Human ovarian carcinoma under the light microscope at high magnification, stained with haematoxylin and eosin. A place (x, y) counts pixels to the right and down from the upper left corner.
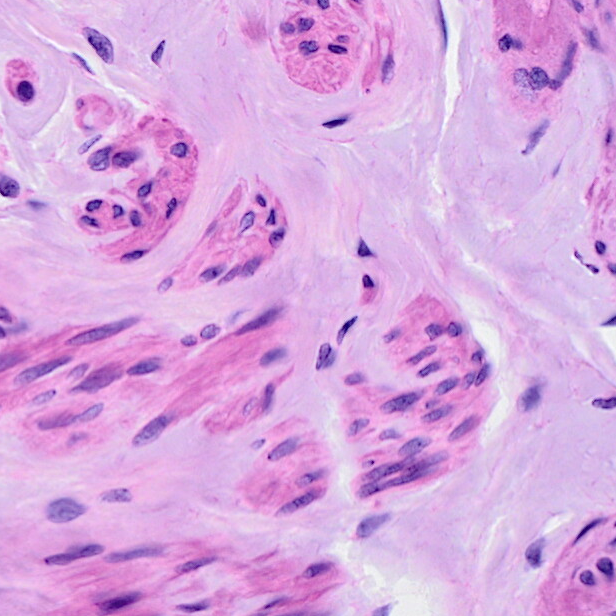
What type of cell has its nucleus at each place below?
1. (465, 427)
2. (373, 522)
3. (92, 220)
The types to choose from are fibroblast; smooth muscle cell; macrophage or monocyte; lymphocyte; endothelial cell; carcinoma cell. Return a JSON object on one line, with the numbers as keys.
{"1": "smooth muscle cell", "2": "fibroblast", "3": "smooth muscle cell"}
